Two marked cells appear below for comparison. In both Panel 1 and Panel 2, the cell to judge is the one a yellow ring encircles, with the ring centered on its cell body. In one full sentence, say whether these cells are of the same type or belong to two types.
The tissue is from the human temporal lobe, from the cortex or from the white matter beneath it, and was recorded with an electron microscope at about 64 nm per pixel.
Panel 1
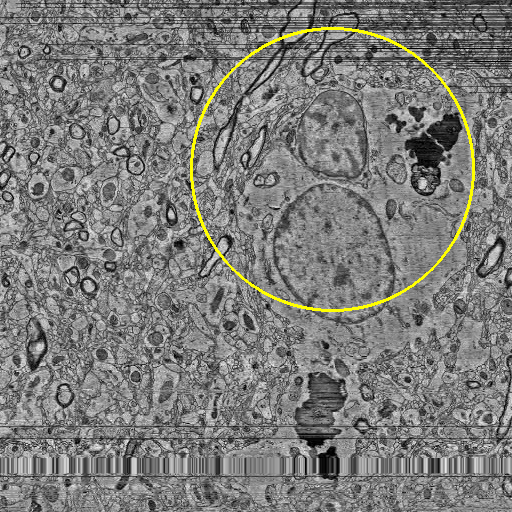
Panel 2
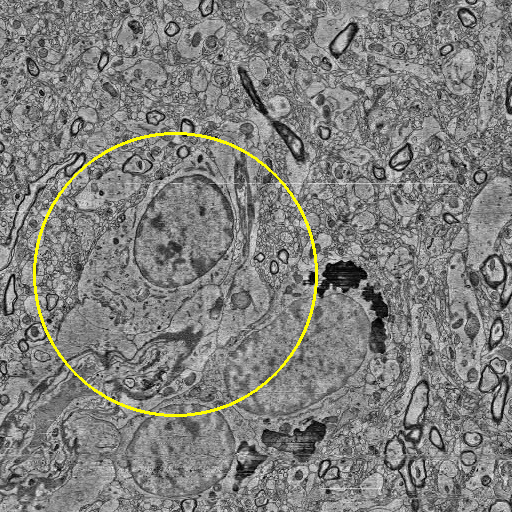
The cell centered in the Panel 1 ring and the one in Panel 2 are of the same type.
